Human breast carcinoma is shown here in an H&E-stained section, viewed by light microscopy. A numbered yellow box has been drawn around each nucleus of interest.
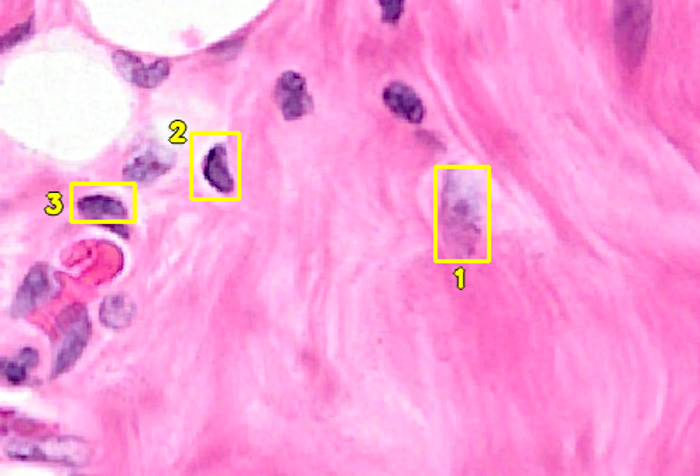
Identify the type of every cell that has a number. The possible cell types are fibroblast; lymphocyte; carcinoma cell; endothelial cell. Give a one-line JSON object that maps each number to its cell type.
{"1": "fibroblast", "2": "lymphocyte", "3": "endothelial cell"}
